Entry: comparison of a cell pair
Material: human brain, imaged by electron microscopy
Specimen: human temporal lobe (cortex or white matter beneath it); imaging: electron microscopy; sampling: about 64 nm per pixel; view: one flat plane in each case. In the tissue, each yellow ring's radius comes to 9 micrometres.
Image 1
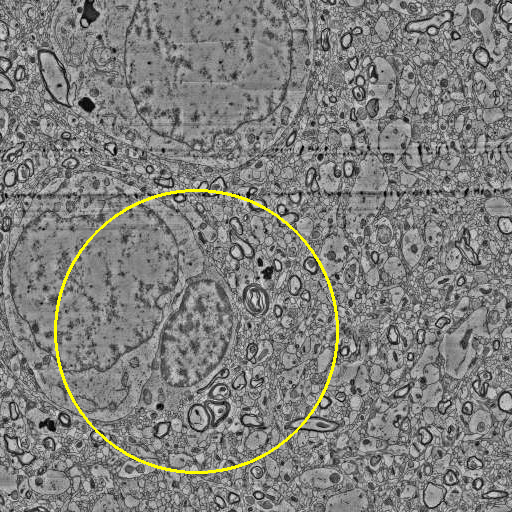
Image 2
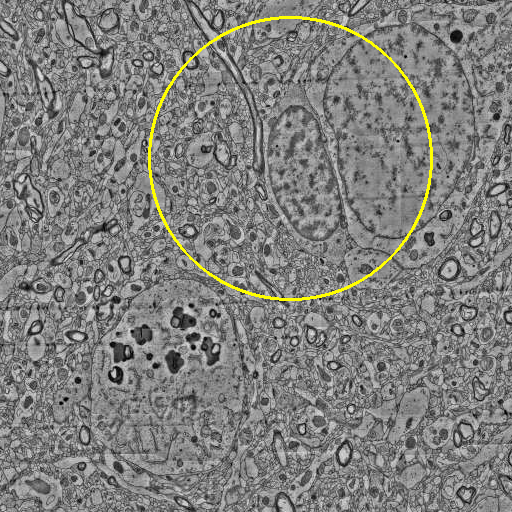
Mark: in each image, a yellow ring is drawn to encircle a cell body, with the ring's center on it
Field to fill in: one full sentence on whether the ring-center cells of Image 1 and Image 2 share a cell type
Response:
Yes, Image 1 and Image 2 each show a ring-center cell of one shared type.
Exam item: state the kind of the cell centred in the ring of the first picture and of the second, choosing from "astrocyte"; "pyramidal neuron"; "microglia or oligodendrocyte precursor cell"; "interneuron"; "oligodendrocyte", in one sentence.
Both rings mark an oligodendrocyte, one in each picture.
